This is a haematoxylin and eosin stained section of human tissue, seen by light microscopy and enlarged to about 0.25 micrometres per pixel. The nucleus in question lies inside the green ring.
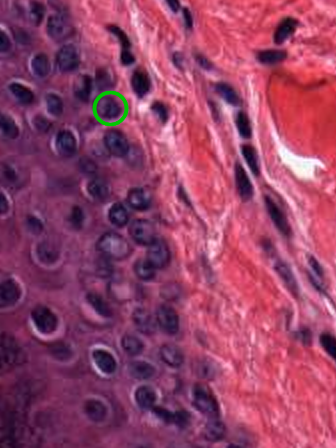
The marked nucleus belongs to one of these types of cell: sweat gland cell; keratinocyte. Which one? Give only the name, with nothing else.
keratinocyte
